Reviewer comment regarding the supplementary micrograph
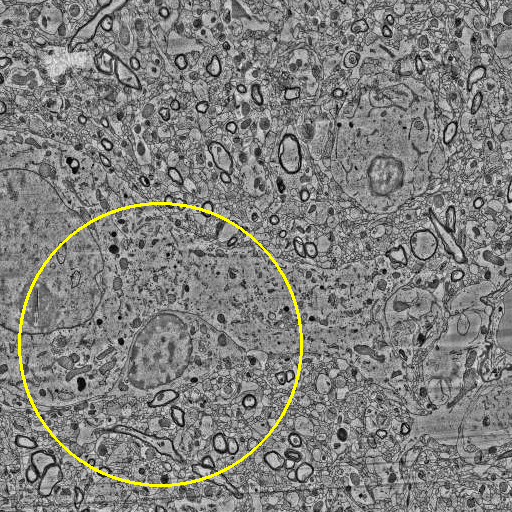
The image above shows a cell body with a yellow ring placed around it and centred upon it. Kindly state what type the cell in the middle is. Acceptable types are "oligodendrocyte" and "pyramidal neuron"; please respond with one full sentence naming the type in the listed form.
In the image above, the cell on which the yellow ring is centred is an oligodendrocyte.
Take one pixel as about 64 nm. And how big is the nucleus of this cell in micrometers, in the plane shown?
The nucleus appears roughly 5 by 4 micrometres in this plane.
